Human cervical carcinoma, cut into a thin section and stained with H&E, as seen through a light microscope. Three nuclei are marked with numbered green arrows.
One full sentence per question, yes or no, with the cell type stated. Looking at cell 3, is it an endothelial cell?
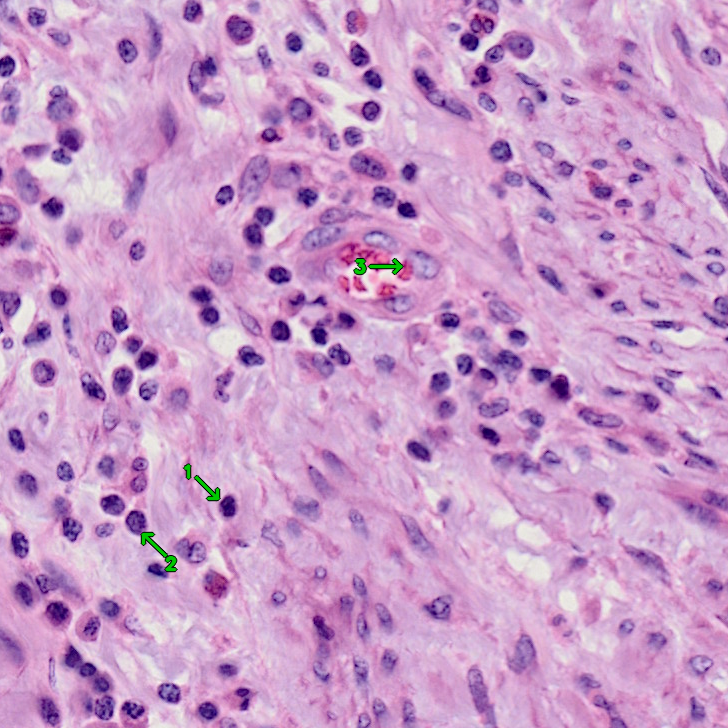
Yes, regarding cell number 3, it is an endothelial cell.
